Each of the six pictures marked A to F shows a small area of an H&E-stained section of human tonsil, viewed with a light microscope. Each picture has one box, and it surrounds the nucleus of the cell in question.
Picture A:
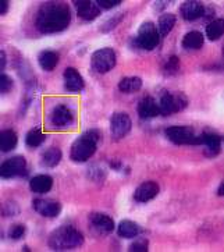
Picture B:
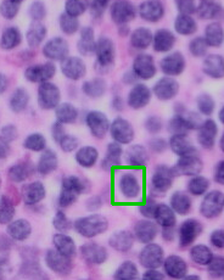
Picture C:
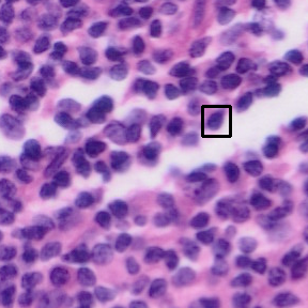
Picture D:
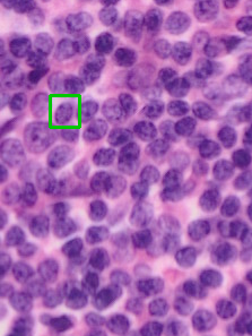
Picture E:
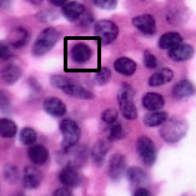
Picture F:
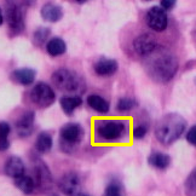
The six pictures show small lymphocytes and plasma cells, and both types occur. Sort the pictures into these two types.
A: plasma cell
B: small lymphocyte
C: small lymphocyte
D: small lymphocyte
E: plasma cell
F: plasma cell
